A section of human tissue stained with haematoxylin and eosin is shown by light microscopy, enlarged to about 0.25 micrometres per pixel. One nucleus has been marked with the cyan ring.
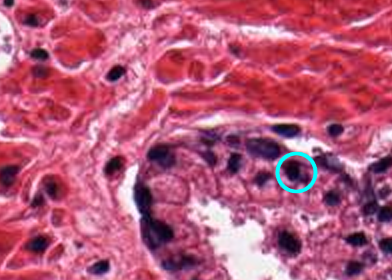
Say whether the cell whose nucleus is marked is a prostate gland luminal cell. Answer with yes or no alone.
yes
